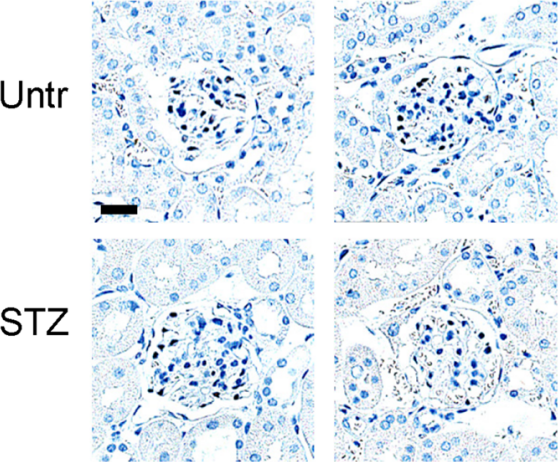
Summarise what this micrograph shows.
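These are four views of renal cortex, each centred on a glomerulus surrounded by tubules of cuboidal epithelium with blue-stained nuclei. Within each capillary tuft a subset of nuclei is stained dark brown-black, lying at the periphery of the capillary loops, consistent with podocytes, while other nuclei in the tuft and all tubular nuclei are blue. The glomeruli are enclosed by a thin capsule separated from the tuft by a narrow urinary space.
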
